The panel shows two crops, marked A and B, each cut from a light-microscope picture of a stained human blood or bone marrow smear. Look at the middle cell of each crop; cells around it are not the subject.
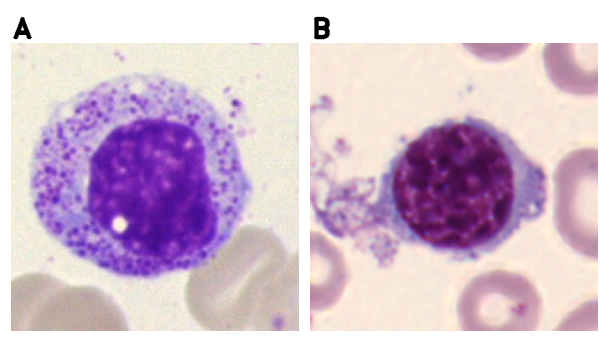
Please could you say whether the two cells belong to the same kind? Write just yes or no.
no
